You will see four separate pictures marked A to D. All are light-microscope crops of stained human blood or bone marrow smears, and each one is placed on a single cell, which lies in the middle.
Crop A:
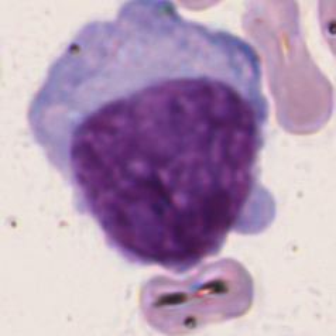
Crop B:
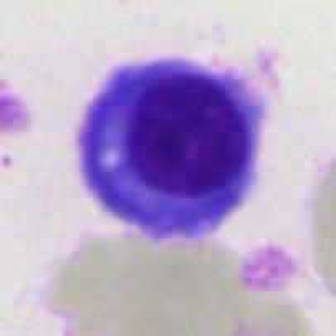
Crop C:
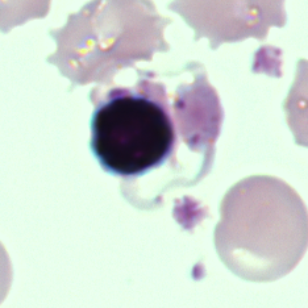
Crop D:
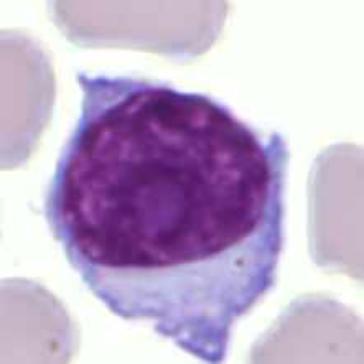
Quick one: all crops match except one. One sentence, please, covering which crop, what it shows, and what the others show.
The rest of the crops show plasma cells; crop C is the one showing a normoblast.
